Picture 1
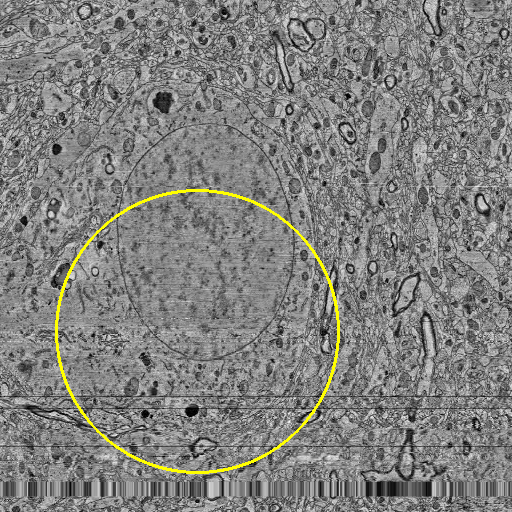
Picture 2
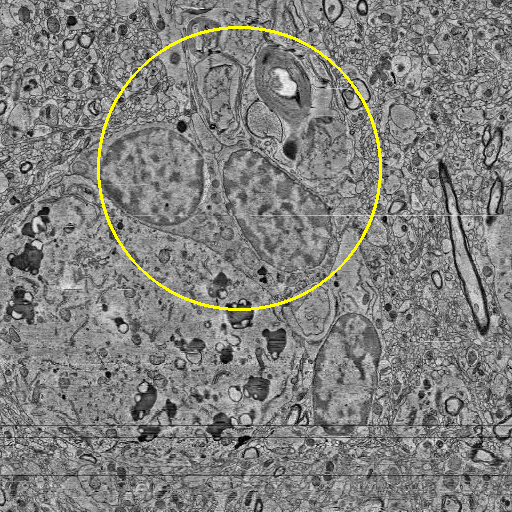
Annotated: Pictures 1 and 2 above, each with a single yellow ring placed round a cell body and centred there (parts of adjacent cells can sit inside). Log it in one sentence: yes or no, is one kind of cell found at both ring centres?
No, the ring centres of the two pictures hold cells of two kinds.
